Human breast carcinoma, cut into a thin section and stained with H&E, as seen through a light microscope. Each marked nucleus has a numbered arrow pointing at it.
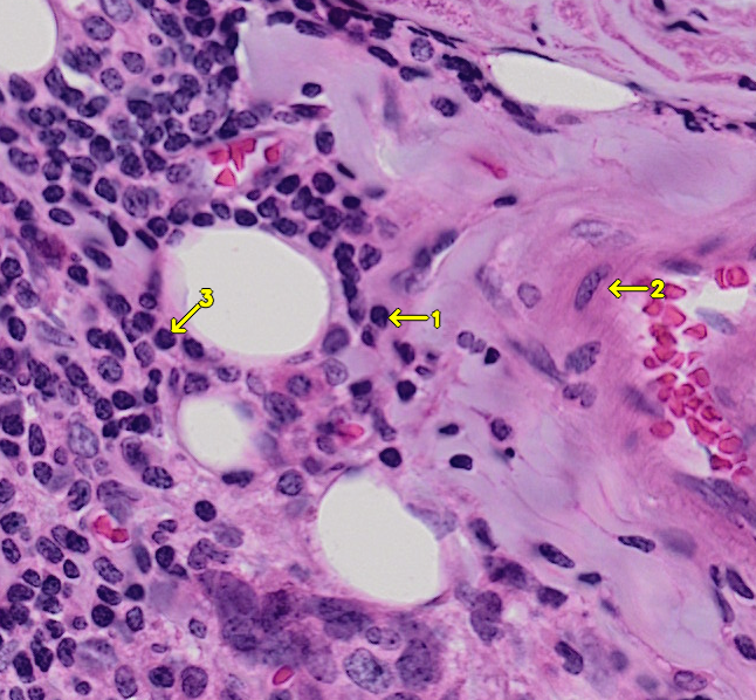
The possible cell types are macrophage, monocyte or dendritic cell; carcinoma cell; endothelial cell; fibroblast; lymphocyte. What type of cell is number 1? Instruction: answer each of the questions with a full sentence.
The label 1 in this section denotes a lymphocyte.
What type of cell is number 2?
The correct answer for cell 2 is an endothelial cell.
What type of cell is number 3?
Cell 3 of the marked set is a lymphocyte.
